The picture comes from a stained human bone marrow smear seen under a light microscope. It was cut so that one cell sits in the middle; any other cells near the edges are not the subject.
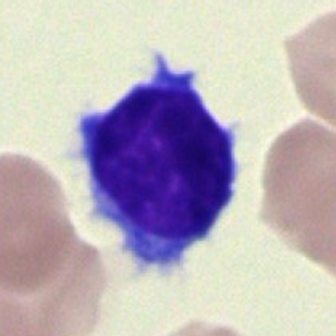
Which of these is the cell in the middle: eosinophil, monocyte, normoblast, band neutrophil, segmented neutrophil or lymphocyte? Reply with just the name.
lymphocyte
